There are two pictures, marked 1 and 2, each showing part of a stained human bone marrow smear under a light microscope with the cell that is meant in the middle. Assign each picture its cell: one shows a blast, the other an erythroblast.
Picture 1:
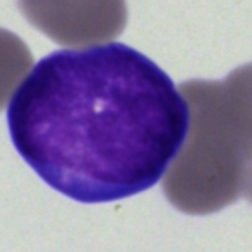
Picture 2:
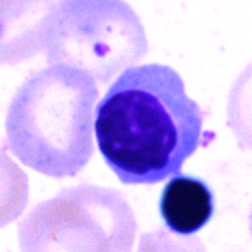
1: blast
2: erythroblast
